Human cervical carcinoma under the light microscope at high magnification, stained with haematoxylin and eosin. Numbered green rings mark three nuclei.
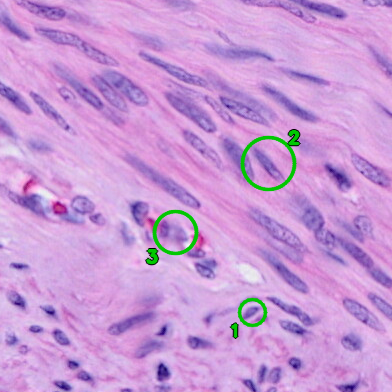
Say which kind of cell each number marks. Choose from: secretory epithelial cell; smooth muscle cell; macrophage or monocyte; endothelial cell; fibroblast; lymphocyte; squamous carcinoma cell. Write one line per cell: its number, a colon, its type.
1: smooth muscle cell
2: smooth muscle cell
3: endothelial cell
